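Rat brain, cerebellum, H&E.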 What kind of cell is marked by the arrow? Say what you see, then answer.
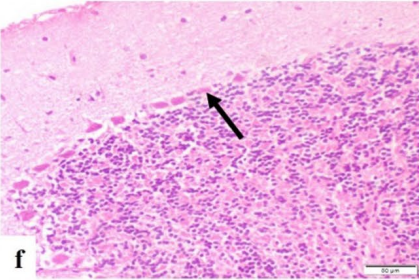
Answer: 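The arrow points to cells lying along the edge of a densely packed layer of small dark nuclei. Above the arrow lies a pale pink layer with sparse nuclei. So: purkinje cells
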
